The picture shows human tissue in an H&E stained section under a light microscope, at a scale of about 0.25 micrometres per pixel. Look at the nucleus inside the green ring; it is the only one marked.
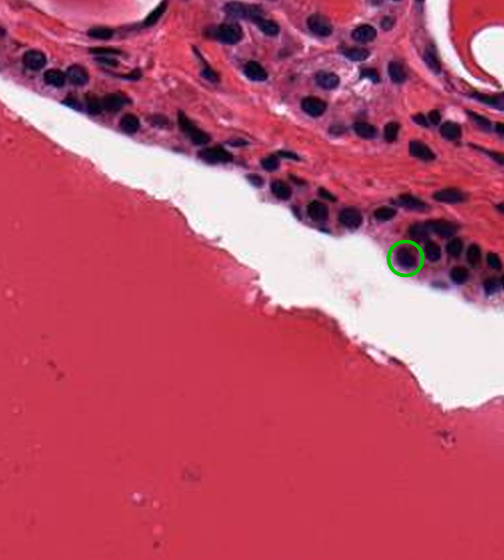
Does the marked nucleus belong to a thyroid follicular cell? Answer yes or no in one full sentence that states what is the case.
Yes, the marked nucleus is contained in a thyroid follicular cell.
